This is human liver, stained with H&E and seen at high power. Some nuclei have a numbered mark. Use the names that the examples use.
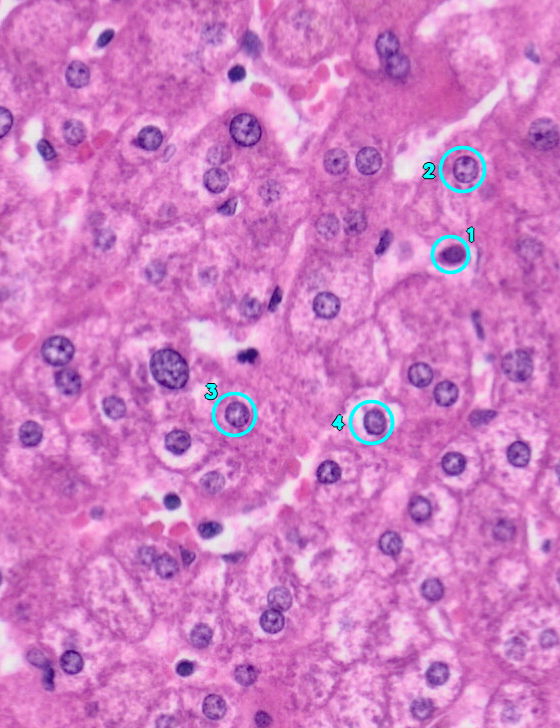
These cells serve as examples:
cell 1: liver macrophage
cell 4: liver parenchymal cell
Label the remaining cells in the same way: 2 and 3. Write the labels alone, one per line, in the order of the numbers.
liver parenchymal cell
liver parenchymal cell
